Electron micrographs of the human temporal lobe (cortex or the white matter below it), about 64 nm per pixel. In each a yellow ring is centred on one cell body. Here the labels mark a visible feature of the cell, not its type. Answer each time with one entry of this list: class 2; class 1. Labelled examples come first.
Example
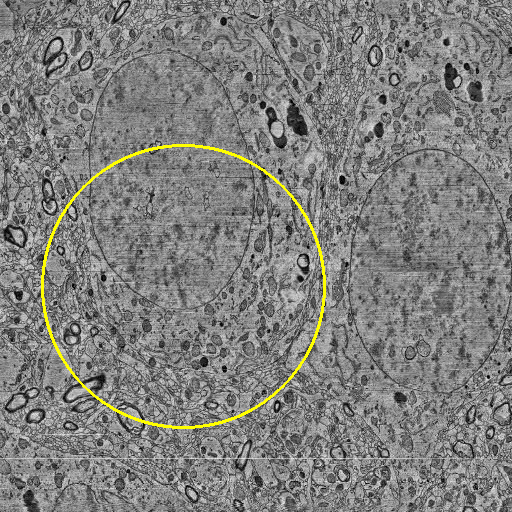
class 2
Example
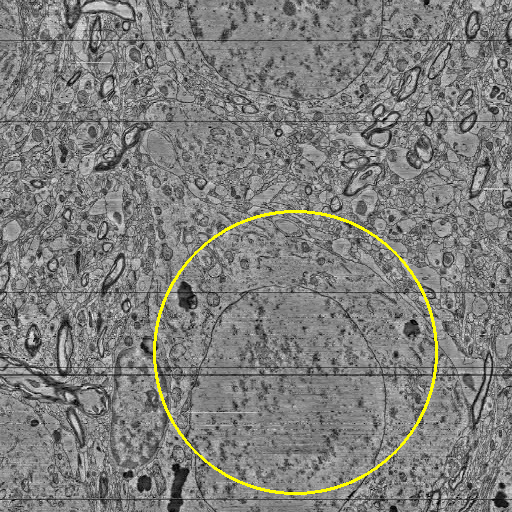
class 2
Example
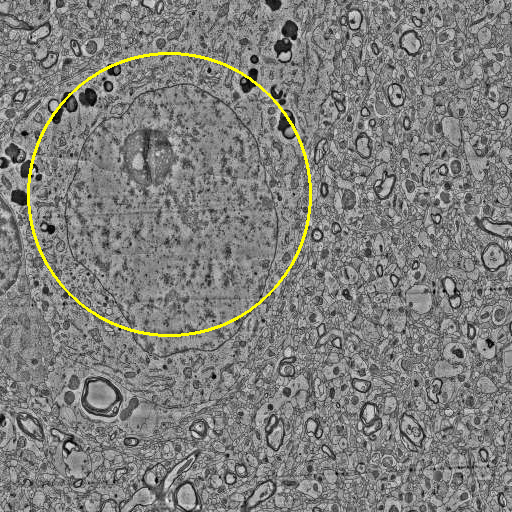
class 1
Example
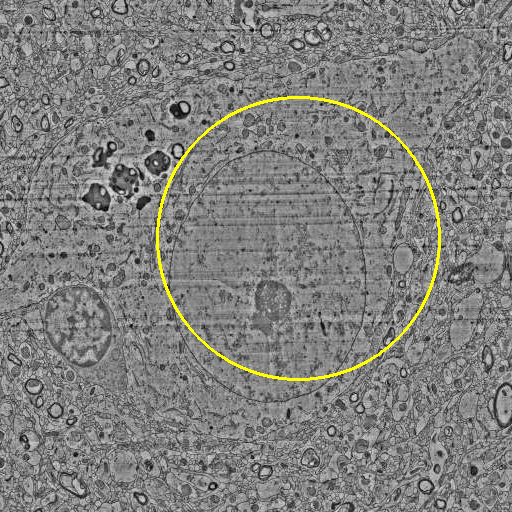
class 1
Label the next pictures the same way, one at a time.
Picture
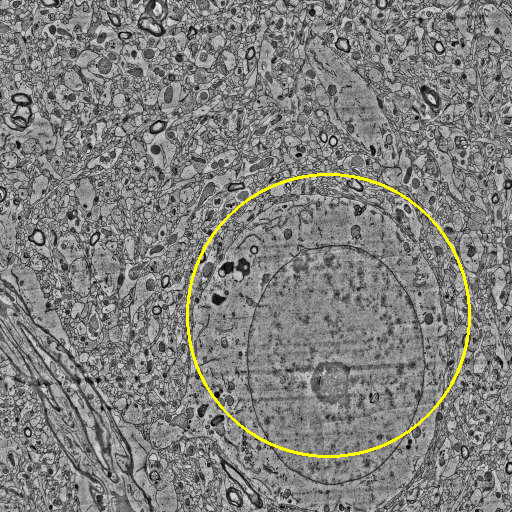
class 1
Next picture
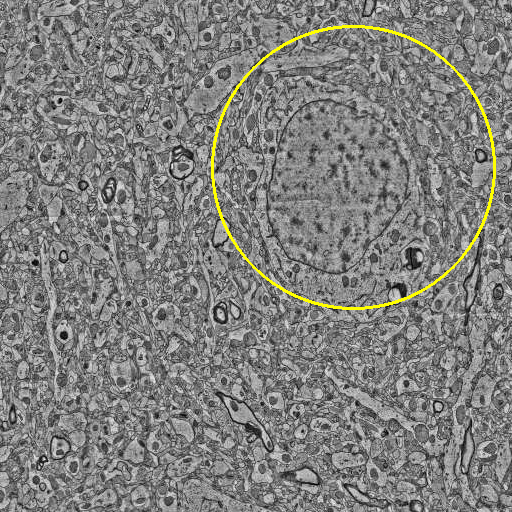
class 2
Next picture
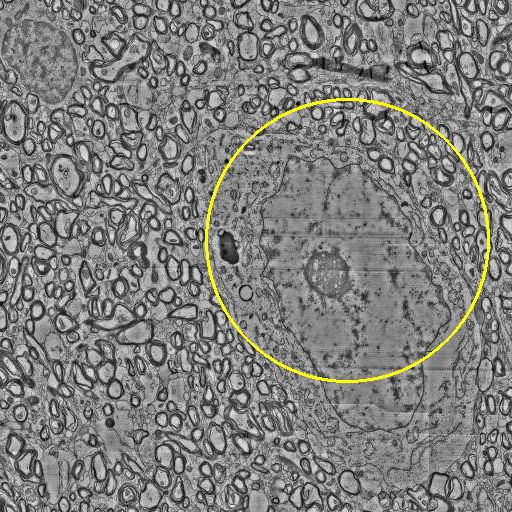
class 1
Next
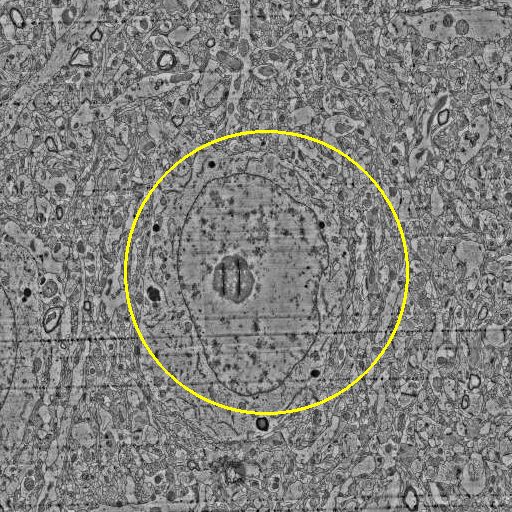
class 1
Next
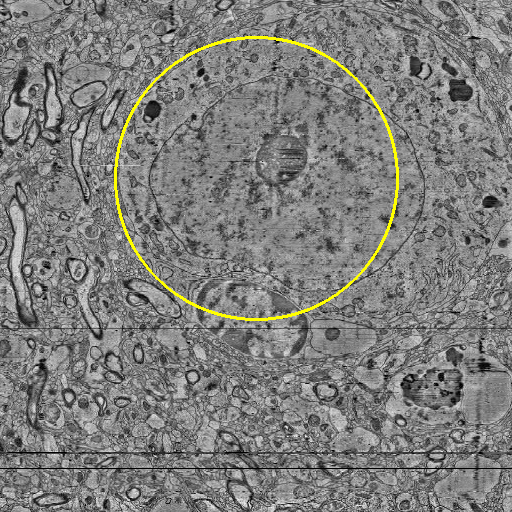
class 1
